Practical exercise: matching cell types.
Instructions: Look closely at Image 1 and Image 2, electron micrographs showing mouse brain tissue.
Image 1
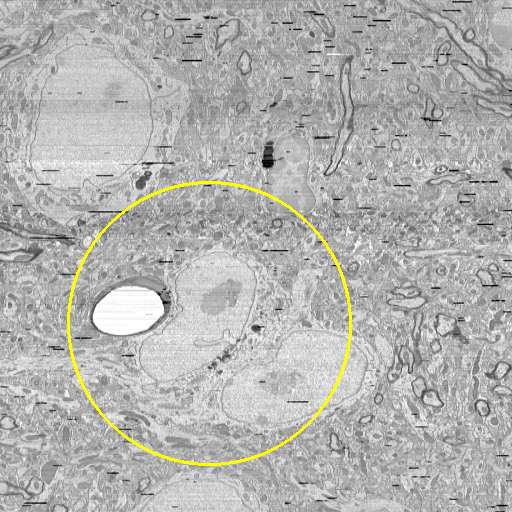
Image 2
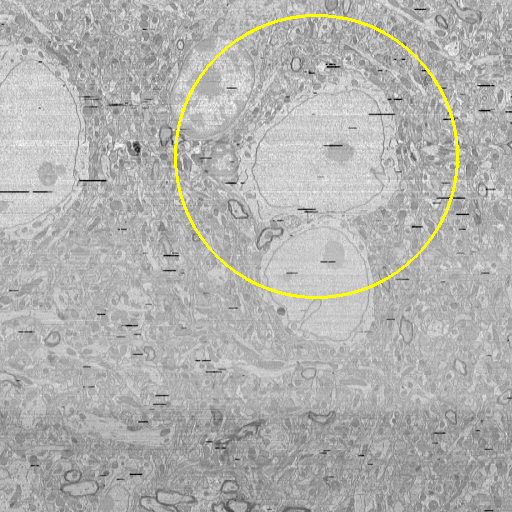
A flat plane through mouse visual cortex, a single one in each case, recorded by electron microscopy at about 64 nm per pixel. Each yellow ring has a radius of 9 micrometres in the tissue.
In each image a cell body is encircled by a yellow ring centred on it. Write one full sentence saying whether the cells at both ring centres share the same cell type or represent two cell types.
Across Image 1 and Image 2, the cells at the ring centres represent two cell types.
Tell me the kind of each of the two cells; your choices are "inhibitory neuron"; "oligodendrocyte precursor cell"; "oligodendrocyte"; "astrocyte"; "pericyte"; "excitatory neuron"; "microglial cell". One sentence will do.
The ringed cell is an inhibitory neuron in the first picture and an excitatory neuron in the second picture.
